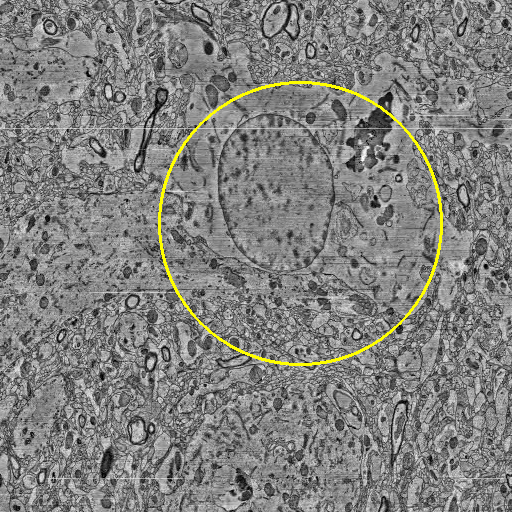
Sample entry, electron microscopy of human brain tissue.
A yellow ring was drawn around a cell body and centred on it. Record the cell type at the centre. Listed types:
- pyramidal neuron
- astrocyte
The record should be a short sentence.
The cell at the ring's centre is an astrocyte.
